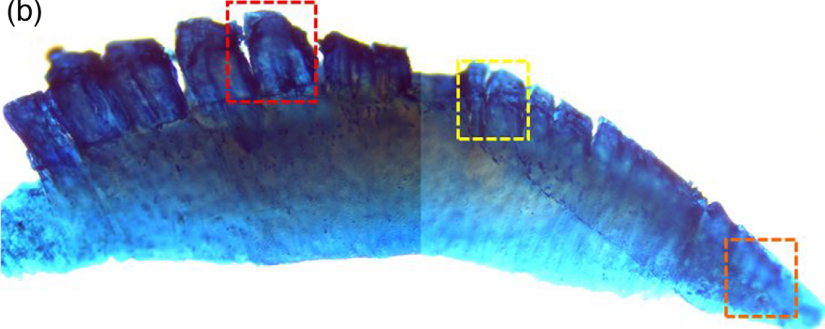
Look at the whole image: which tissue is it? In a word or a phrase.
Cartilage.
